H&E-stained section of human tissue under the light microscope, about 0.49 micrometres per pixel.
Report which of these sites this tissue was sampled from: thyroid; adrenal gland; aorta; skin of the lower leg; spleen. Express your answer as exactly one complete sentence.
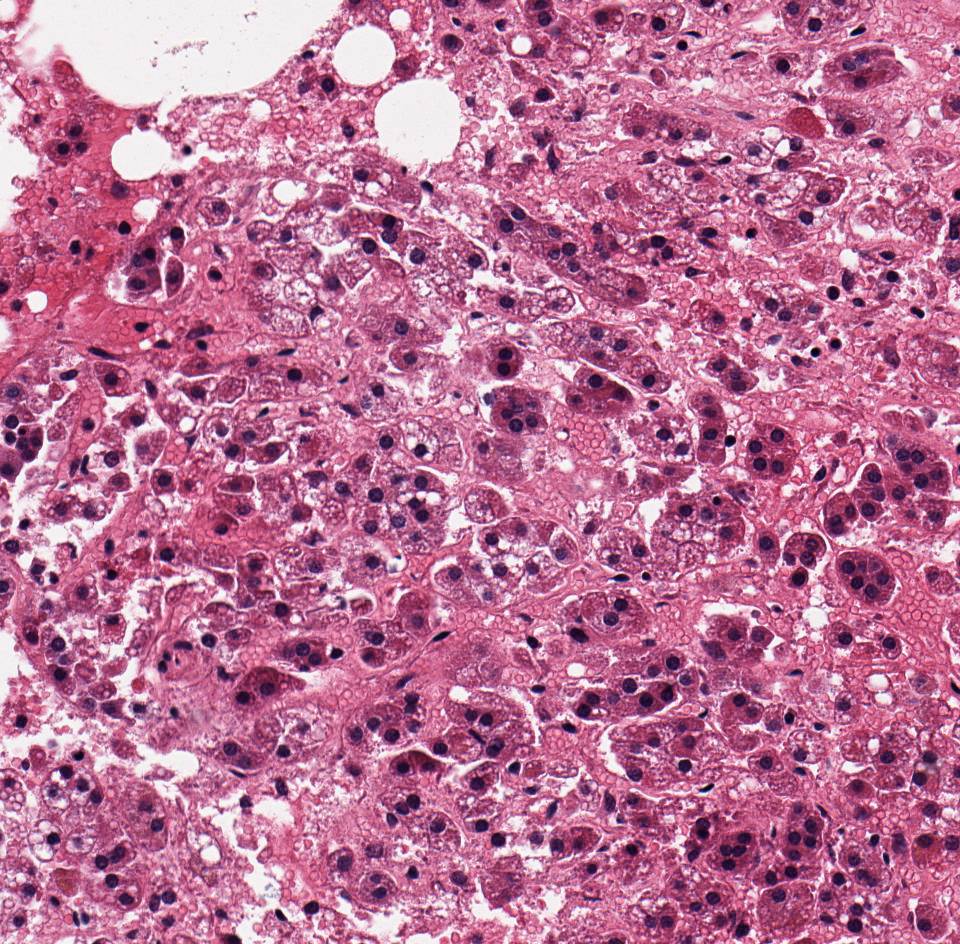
Tissue from the adrenal gland was used for this section.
